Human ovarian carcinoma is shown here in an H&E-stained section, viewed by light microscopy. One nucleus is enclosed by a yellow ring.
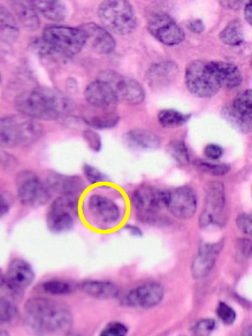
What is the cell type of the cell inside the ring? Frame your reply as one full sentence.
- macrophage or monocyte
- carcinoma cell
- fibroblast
In cell-type terms, the cell inside the ring is a macrophage or monocyte.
